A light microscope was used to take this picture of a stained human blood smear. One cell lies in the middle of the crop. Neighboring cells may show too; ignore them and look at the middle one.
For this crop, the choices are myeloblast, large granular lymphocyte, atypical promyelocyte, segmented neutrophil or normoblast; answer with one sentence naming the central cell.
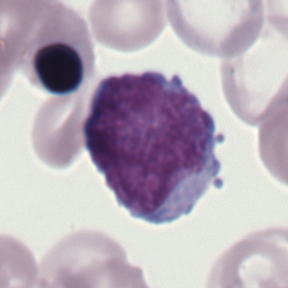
Among the cells in view, the one in the middle is a myeloblast.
